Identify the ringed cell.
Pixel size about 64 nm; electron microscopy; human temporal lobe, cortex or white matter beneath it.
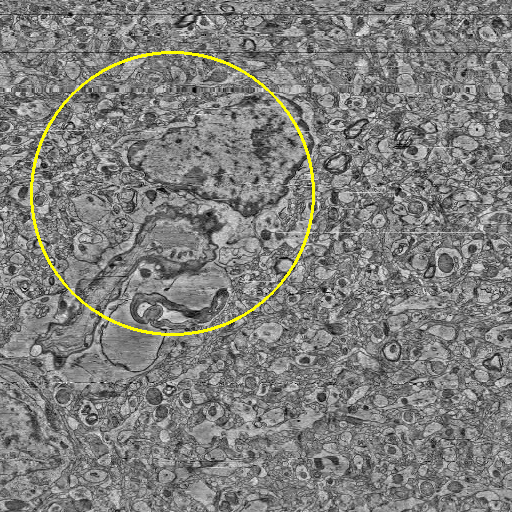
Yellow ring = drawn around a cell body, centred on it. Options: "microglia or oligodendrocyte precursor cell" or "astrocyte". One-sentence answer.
What the ring is centred on is a microglial cell or oligodendrocyte precursor cell.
